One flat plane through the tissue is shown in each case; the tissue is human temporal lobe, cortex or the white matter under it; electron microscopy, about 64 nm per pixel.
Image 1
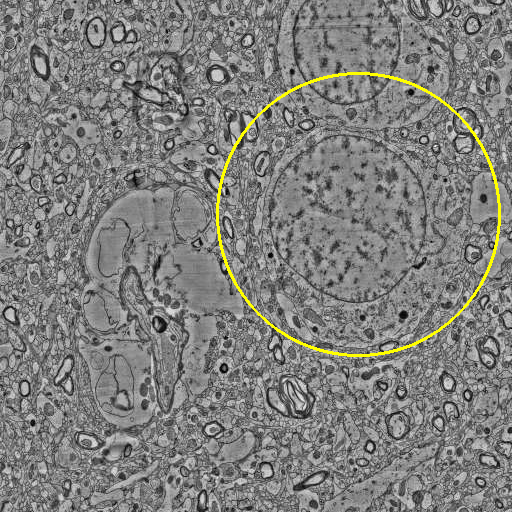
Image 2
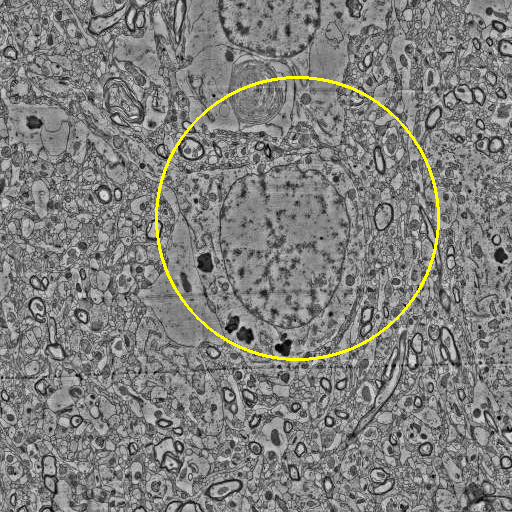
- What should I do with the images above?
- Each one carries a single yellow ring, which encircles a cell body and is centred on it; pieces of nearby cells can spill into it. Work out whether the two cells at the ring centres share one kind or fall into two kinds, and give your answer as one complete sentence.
The ring-centre cells of Image 1 and Image 2 share one kind.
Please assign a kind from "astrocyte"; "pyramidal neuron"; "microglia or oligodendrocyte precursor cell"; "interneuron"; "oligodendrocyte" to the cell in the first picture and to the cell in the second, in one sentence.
In each picture the ringed cell is a pyramidal neuron.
